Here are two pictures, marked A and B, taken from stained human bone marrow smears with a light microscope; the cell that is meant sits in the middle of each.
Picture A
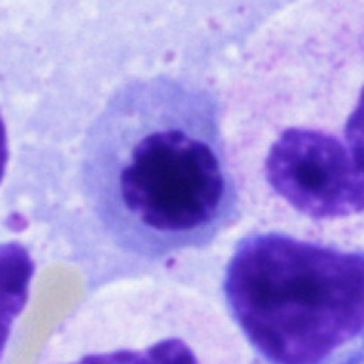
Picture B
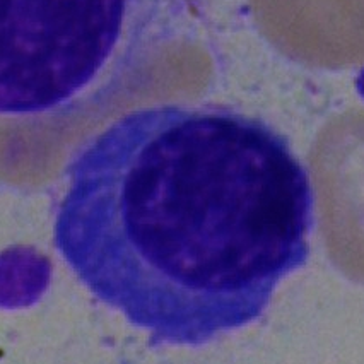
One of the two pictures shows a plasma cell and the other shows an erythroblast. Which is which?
A: erythroblast
B: plasma cell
